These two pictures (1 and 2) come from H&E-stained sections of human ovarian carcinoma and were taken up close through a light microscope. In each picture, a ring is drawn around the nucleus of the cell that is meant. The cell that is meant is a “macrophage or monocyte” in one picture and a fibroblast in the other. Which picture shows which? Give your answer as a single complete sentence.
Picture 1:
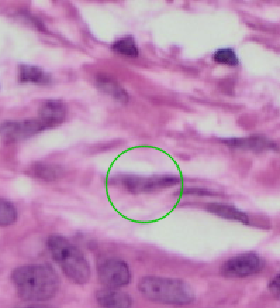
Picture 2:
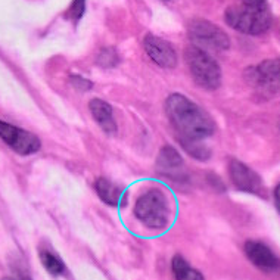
The cell in picture 1 is a fibroblast, and the one in picture 2 is a “macrophage or monocyte”.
